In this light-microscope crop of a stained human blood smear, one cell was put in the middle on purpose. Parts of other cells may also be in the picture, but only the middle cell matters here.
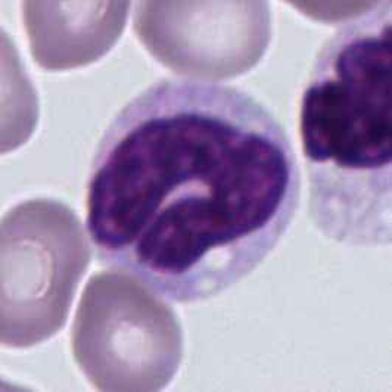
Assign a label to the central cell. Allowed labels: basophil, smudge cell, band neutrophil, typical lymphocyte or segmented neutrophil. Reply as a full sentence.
In the middle of this smear crop is a segmented neutrophil.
